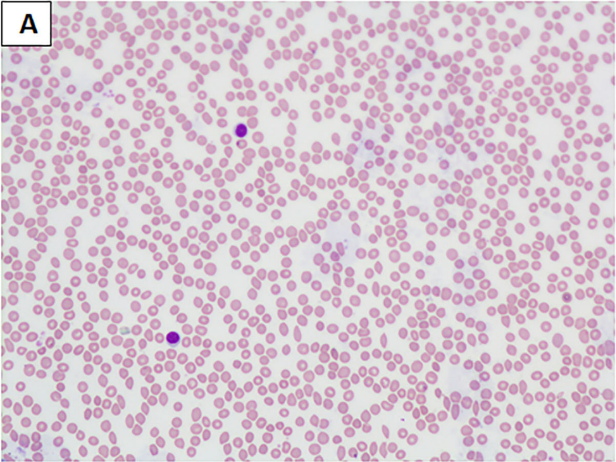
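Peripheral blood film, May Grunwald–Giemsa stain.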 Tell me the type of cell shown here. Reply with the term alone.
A: Lymphocytes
